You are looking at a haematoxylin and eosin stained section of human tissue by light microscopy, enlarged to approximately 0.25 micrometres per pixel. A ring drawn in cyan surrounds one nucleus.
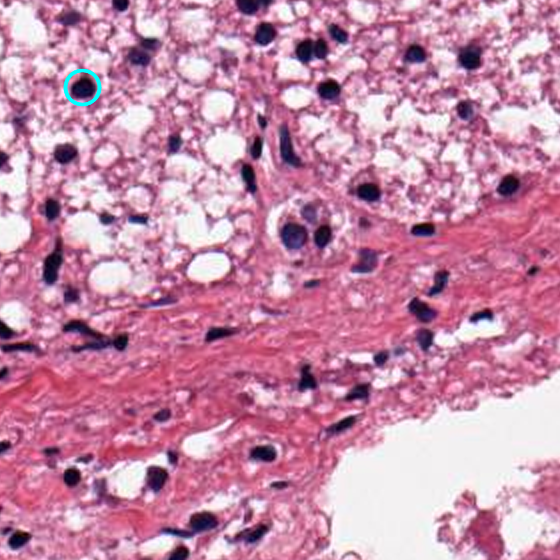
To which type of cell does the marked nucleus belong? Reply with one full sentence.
It is an adrenal cortical cell whose nucleus is marked.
